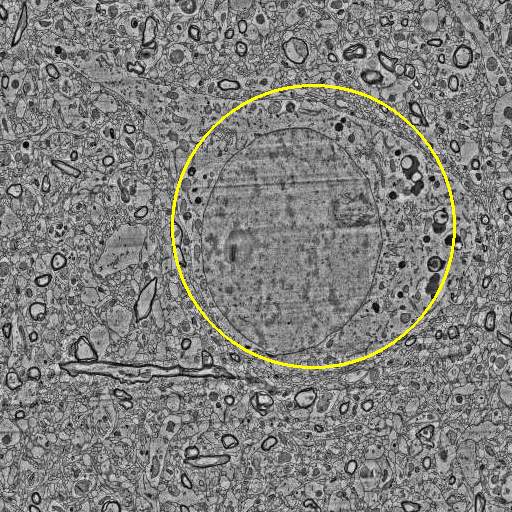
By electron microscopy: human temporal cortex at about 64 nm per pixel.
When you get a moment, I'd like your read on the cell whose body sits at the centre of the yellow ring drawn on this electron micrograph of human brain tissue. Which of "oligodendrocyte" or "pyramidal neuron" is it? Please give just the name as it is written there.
pyramidal neuron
